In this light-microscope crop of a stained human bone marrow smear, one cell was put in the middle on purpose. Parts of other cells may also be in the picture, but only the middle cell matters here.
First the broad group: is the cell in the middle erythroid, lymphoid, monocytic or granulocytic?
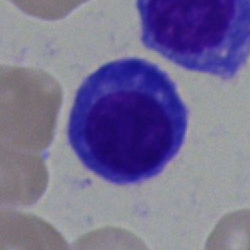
lymphoid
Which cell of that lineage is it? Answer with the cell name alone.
plasma cell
